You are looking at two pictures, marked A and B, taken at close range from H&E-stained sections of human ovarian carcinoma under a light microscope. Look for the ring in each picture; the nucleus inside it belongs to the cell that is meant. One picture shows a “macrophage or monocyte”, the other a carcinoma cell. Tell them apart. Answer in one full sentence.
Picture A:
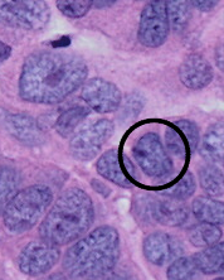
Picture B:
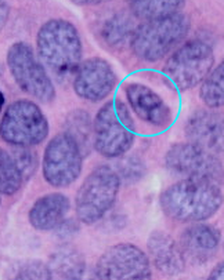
In picture A the cell is a carcinoma cell; in picture B, a “macrophage or monocyte”.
